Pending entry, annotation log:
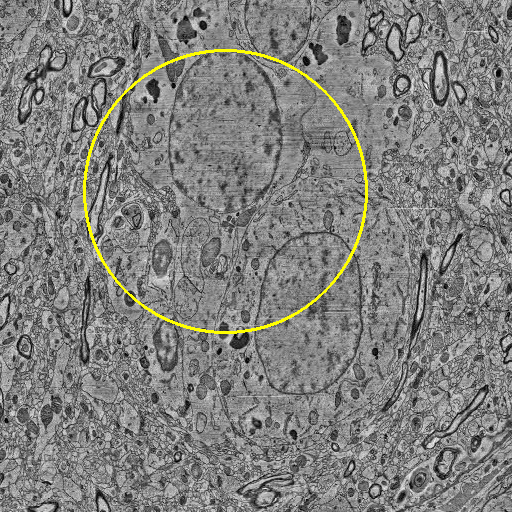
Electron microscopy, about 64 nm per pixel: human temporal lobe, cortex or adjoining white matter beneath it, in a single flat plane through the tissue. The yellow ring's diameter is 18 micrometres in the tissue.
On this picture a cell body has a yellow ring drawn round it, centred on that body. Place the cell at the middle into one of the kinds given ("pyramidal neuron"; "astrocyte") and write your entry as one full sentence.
The cell body at the middle of the yellow ring belongs to an astrocyte.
